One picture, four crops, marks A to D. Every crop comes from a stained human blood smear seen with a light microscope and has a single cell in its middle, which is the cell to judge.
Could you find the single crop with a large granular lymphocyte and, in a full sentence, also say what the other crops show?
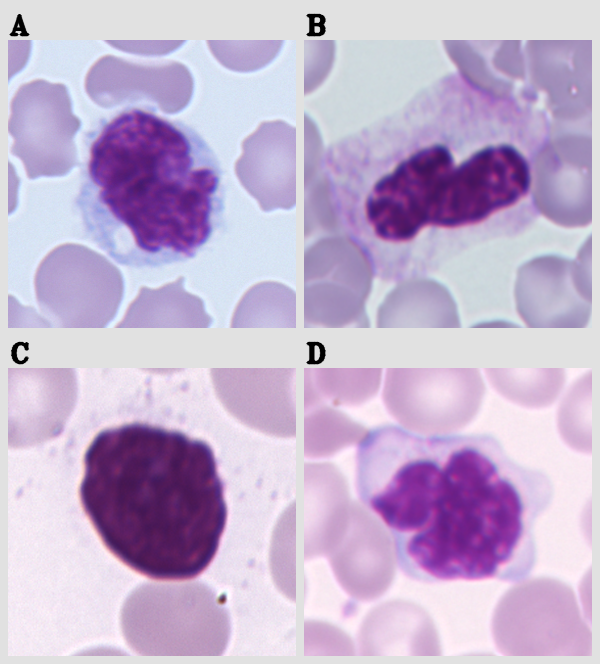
Crop D shows a large granular lymphocyte, while crop A is a hairy cell, crop B is a neutrophil and crop C is a smudge cell.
